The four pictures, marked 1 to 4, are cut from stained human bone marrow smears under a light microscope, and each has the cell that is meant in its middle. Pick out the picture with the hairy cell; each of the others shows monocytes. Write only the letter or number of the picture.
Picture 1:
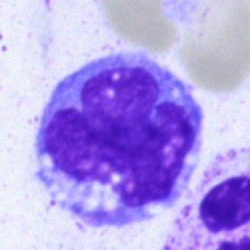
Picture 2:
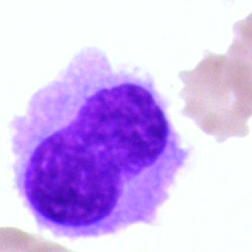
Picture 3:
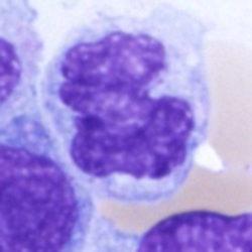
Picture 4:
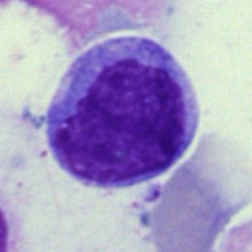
2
